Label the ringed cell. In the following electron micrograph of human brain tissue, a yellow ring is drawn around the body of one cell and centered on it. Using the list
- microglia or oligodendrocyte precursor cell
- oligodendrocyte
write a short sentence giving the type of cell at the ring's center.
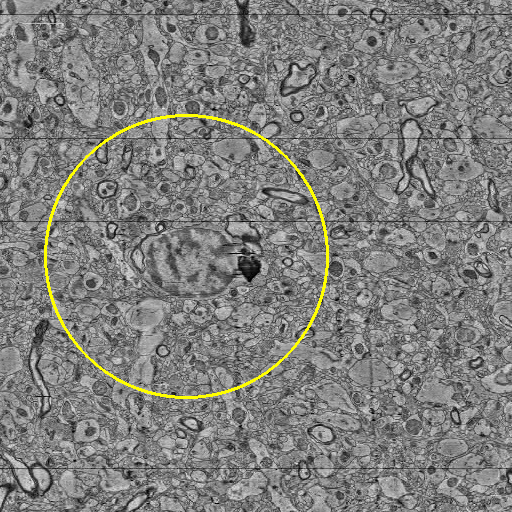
The cell body at the ring's center is that of an oligodendrocyte.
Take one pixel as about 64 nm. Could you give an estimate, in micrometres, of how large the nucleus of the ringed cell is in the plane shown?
In this plane the nucleus spans approximately 6 by 5 micrometers.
